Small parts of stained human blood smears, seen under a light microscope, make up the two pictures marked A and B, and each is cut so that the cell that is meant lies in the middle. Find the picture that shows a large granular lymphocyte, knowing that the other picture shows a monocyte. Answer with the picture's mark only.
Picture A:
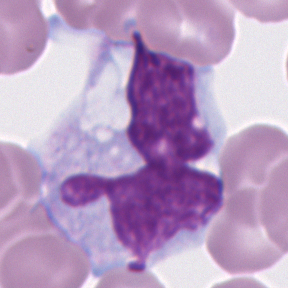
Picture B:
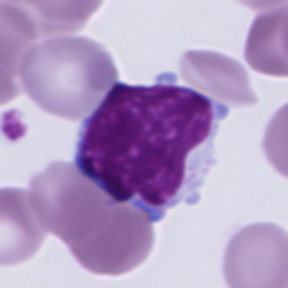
B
